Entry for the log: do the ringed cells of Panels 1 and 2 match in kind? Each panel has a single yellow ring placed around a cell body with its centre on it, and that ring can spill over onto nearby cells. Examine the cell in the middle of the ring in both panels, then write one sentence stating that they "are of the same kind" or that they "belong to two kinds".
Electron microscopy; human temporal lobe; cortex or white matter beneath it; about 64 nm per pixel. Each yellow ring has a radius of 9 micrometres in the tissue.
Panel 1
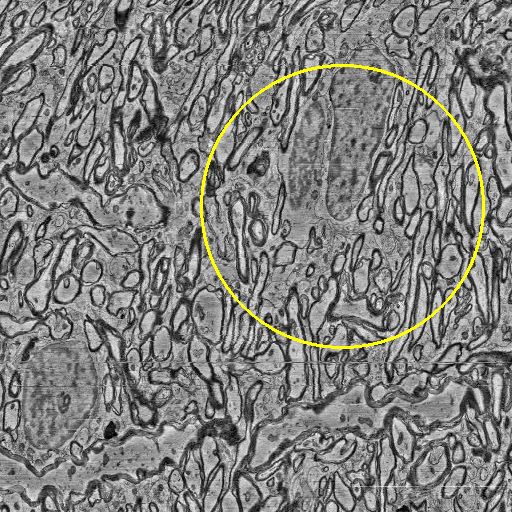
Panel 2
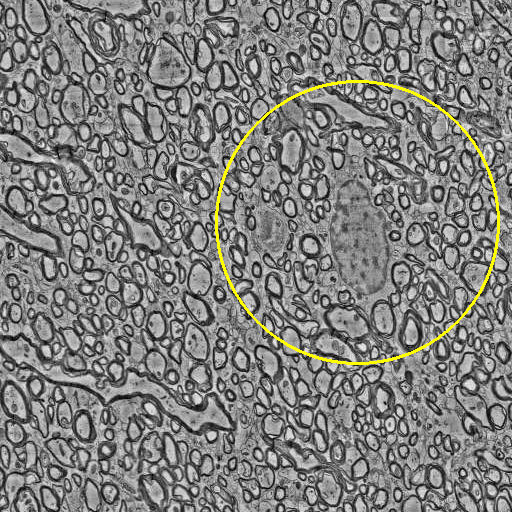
The centre cell of Panel 1's ring and that of Panel 2's ring belong to two kinds.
